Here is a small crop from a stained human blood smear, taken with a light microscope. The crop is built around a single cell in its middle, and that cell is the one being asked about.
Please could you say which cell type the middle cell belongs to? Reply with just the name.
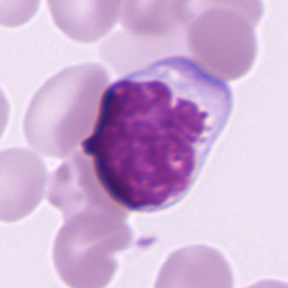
large granular lymphocyte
